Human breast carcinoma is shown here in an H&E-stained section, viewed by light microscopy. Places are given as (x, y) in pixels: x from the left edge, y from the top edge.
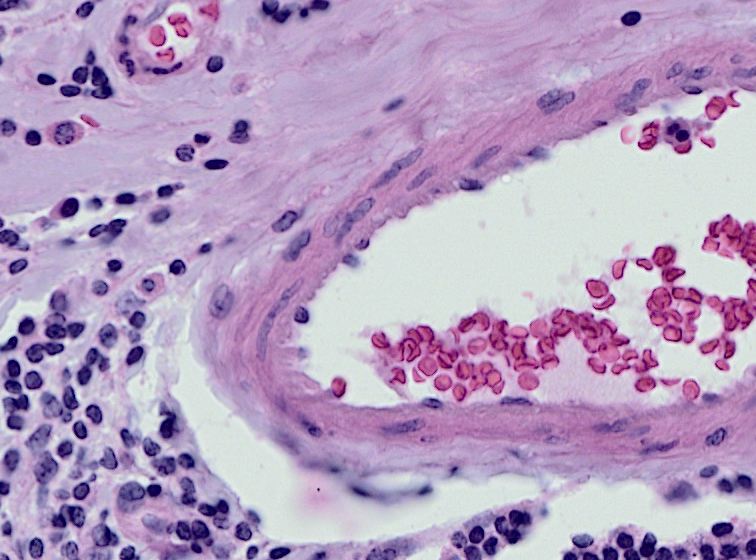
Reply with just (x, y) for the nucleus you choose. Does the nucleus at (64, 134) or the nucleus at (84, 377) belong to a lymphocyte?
(84, 377)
